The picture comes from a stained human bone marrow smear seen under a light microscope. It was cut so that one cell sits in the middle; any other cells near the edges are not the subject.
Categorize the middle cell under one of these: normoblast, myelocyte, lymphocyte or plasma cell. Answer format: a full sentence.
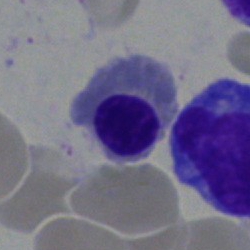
As for the cell in the middle, it is a normoblast.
